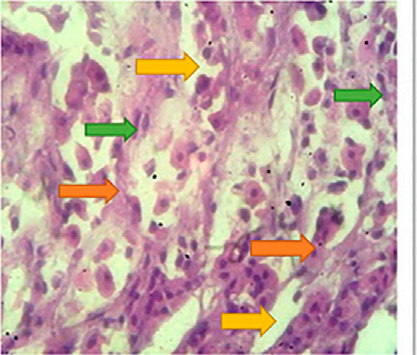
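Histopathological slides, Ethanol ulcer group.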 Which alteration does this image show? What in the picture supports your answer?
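No rounded glandular units with clear outlines are seen. Cells lie scattered and in disordered streaks among pale spaces. So: loss of stomach architecture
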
